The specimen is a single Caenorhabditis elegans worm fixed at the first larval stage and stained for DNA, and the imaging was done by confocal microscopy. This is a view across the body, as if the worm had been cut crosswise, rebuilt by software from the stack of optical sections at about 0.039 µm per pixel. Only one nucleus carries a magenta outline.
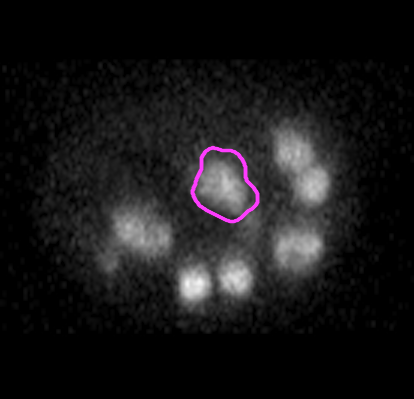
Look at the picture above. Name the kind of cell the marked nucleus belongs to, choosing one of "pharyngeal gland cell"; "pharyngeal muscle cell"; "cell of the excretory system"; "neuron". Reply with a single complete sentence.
This is the nucleus of a pharyngeal muscle cell.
